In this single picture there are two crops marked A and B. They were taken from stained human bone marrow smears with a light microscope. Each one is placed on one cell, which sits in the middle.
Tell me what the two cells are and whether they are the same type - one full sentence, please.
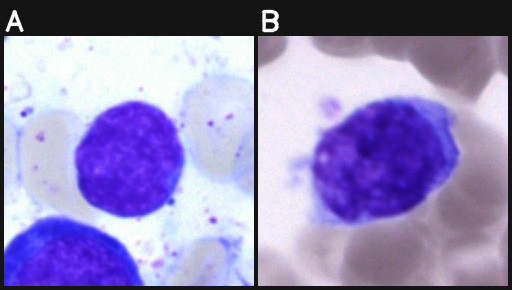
No, a lymphocyte is centred in crop A, and a monocyte is centred in crop B.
